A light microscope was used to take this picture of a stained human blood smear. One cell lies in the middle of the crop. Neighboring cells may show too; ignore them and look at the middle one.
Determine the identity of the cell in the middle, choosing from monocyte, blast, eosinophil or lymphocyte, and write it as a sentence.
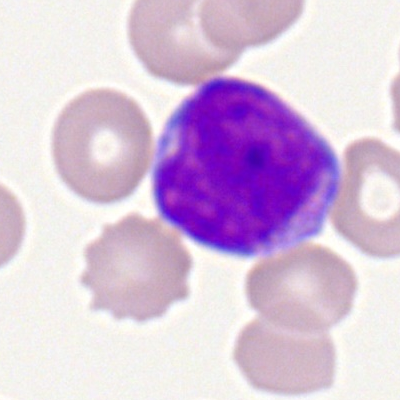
The cell occupying the middle of the crop is a blast.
